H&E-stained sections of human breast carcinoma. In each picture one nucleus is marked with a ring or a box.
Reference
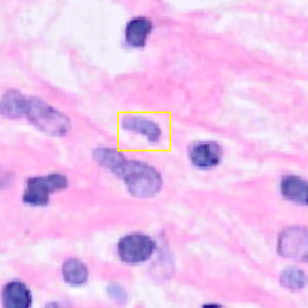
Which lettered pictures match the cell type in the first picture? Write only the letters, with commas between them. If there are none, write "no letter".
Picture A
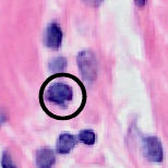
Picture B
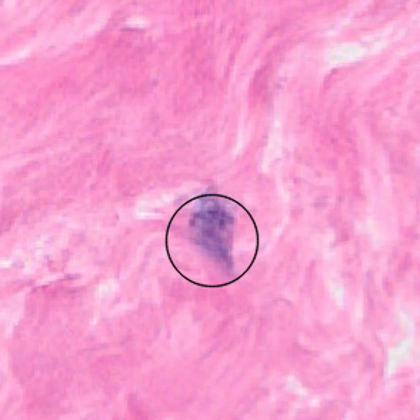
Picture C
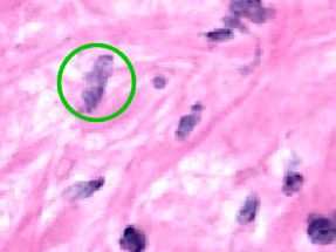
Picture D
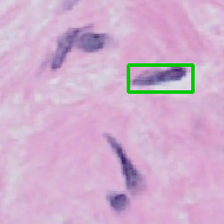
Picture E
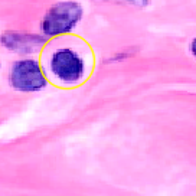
A, E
